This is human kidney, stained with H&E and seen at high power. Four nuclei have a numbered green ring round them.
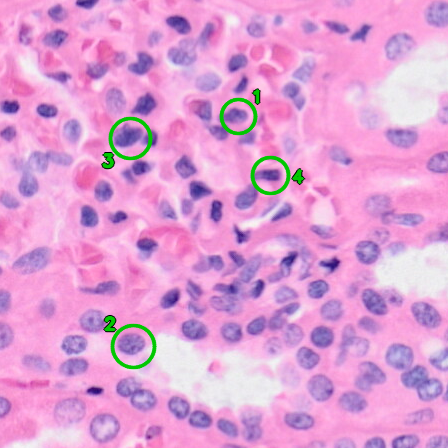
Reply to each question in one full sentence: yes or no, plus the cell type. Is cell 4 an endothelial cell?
Yes, number 4 is assigned to a cell that is an endothelial cell.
